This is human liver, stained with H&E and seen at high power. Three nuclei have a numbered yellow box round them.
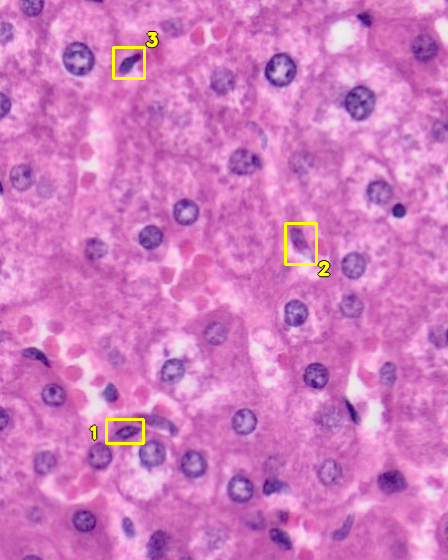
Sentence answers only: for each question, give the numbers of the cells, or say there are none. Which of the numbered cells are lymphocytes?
Only number 3 is a lymphocyte; none of the others are.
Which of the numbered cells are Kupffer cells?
The numbered cells include exactly one that is a Kupffer cell, which is cell 2.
